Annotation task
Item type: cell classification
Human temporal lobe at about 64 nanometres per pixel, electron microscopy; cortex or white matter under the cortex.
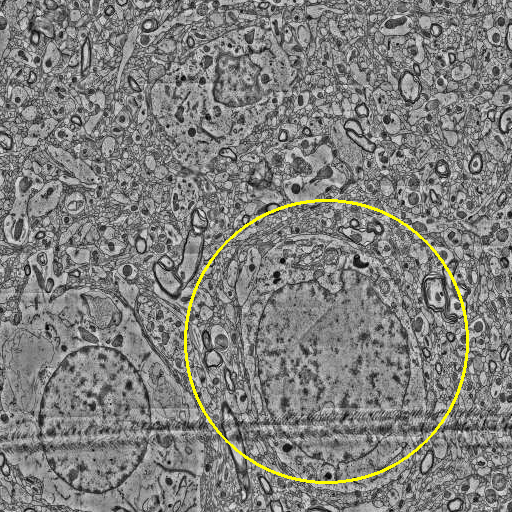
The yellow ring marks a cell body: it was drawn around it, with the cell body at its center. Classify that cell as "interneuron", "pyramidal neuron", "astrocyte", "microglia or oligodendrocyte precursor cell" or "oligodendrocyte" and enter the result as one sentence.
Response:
The ring's center falls on an interneuron.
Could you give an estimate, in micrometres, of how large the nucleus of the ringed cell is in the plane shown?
The nucleus appears roughly 12 by 10 micrometres in this plane.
